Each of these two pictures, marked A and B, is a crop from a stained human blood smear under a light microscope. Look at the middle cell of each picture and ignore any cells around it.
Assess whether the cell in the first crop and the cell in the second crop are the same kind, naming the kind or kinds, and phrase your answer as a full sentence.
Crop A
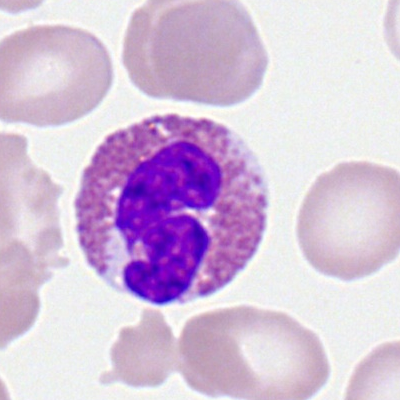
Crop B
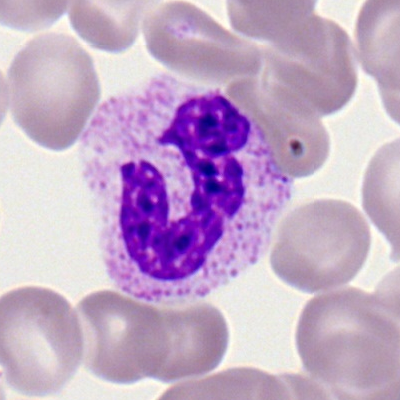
No, a band neutrophil is the cell in crop B, and crop A contains an eosinophil.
